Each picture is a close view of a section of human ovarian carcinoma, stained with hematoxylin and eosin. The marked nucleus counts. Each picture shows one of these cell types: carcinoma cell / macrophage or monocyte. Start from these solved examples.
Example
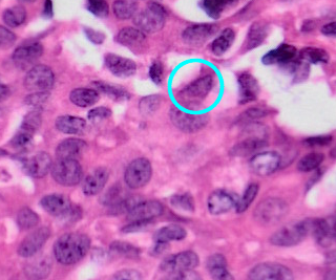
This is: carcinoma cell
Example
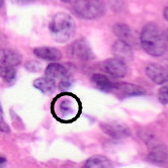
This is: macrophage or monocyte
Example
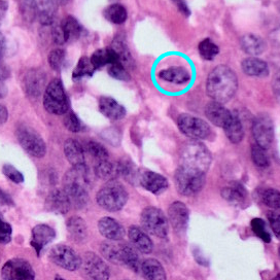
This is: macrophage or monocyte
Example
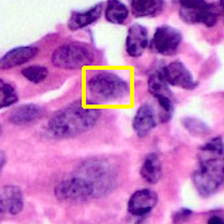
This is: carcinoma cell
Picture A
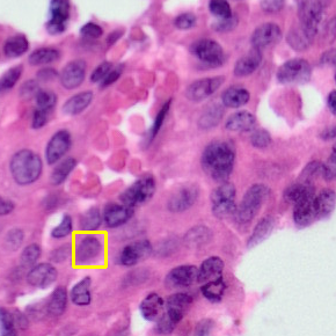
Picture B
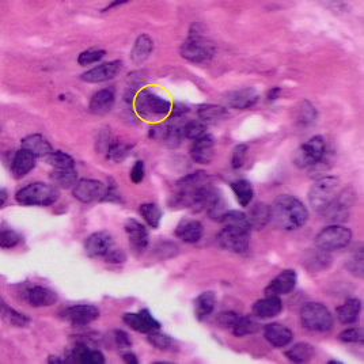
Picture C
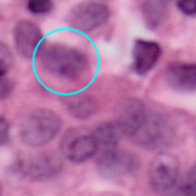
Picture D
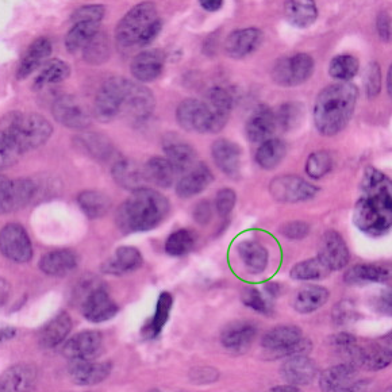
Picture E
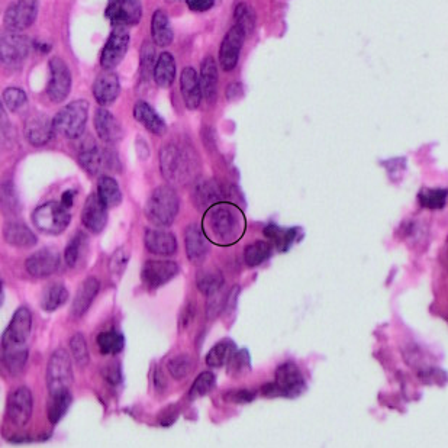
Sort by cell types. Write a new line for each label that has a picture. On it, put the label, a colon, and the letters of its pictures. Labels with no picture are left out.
carcinoma cell: A, B, C, E
macrophage or monocyte: D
